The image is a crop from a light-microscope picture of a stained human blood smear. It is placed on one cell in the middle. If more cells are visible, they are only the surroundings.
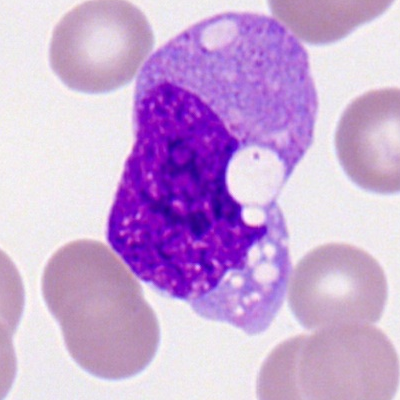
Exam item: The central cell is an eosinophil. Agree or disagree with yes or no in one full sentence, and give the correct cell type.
No, at the middle of the crop is a monocyte, not an eosinophil.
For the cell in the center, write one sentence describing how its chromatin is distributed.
Here the nuclear chromatin is coarsely clumped.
